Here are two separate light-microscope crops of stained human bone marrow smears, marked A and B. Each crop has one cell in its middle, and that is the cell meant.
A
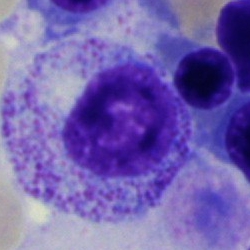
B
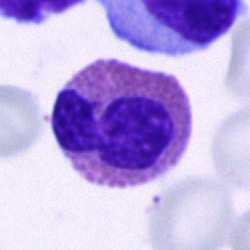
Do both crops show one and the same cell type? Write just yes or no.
no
